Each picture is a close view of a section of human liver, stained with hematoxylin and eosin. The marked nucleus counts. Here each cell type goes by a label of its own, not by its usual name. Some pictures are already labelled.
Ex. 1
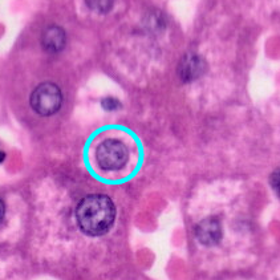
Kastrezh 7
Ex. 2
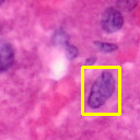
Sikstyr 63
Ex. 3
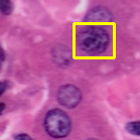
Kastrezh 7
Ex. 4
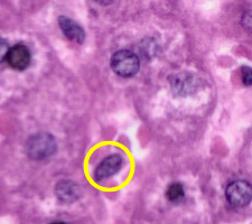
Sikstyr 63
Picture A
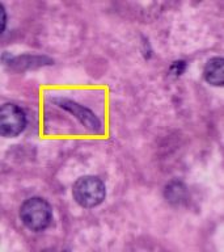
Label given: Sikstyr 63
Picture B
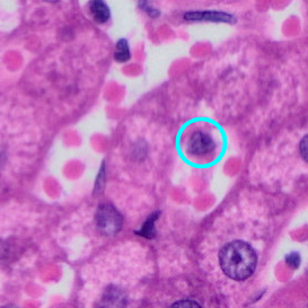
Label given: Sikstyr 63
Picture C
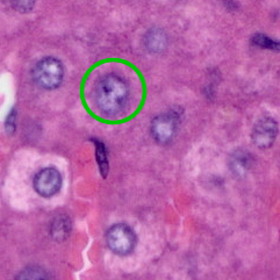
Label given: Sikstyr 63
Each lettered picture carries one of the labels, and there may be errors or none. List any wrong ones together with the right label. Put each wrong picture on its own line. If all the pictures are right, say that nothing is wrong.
C is labelled Sikstyr 63; correct label: Kastrezh 7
